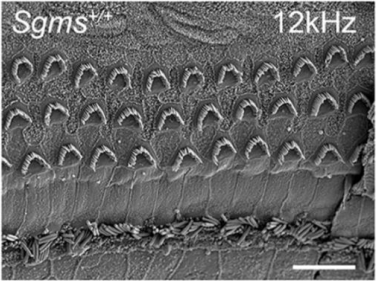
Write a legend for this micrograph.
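Surface view of the cochlear sensory epithelium with hair cells arranged in three upper rows, each cell topped by a V-shaped stereocilia bundle. Beneath a smooth band of supporting cell surfaces, a single row of hair cells carries bundles lined up in a nearly continuous straight row.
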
